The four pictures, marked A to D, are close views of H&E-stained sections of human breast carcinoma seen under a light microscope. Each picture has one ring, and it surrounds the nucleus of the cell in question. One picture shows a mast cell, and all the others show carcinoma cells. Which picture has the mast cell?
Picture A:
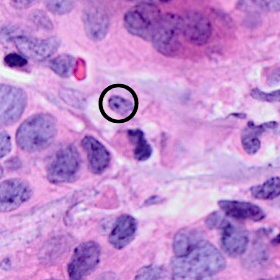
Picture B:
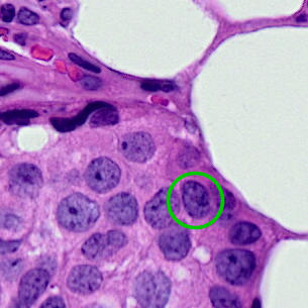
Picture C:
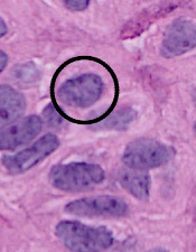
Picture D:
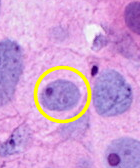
A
